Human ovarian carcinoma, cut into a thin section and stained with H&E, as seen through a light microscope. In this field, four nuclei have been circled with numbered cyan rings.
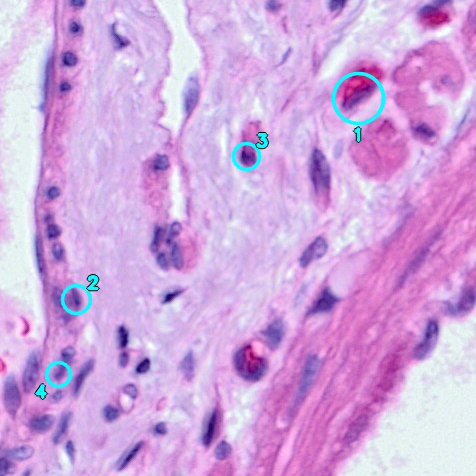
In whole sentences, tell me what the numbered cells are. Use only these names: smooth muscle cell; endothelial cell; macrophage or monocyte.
Cell 1 is an endothelial cell. Cells 2, 3 and 4 are smooth muscle cells.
